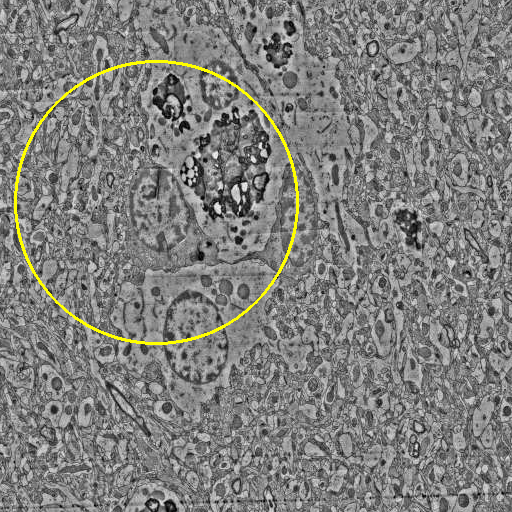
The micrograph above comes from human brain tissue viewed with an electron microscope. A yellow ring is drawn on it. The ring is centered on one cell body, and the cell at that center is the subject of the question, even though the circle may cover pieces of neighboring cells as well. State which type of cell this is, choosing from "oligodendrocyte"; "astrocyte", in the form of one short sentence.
The cell the ring is centered on is an oligodendrocyte.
